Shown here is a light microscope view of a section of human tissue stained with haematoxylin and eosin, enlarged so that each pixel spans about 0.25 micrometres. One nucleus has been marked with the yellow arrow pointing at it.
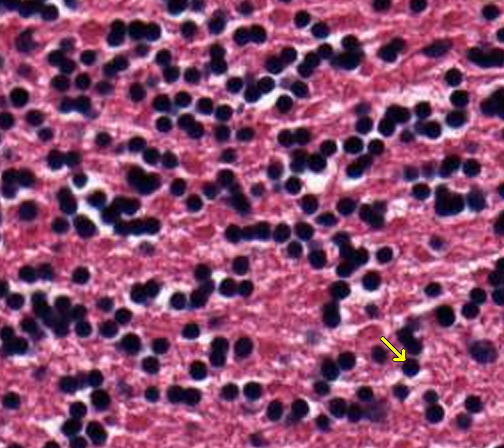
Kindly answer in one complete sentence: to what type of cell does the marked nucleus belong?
In this section, the marked nucleus is that of a cerebellar granule cell.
